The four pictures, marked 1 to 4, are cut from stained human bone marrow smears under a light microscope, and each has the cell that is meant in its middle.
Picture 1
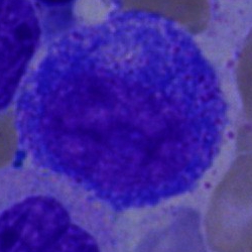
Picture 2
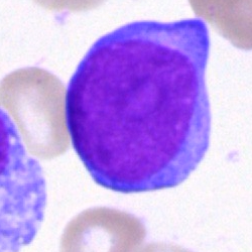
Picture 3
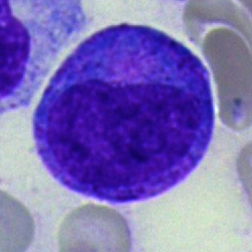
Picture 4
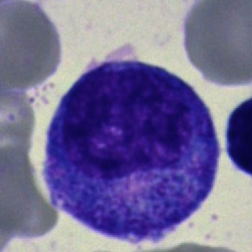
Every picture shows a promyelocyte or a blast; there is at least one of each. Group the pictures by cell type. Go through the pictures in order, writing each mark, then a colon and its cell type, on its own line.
1: promyelocyte
2: blast
3: promyelocyte
4: promyelocyte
